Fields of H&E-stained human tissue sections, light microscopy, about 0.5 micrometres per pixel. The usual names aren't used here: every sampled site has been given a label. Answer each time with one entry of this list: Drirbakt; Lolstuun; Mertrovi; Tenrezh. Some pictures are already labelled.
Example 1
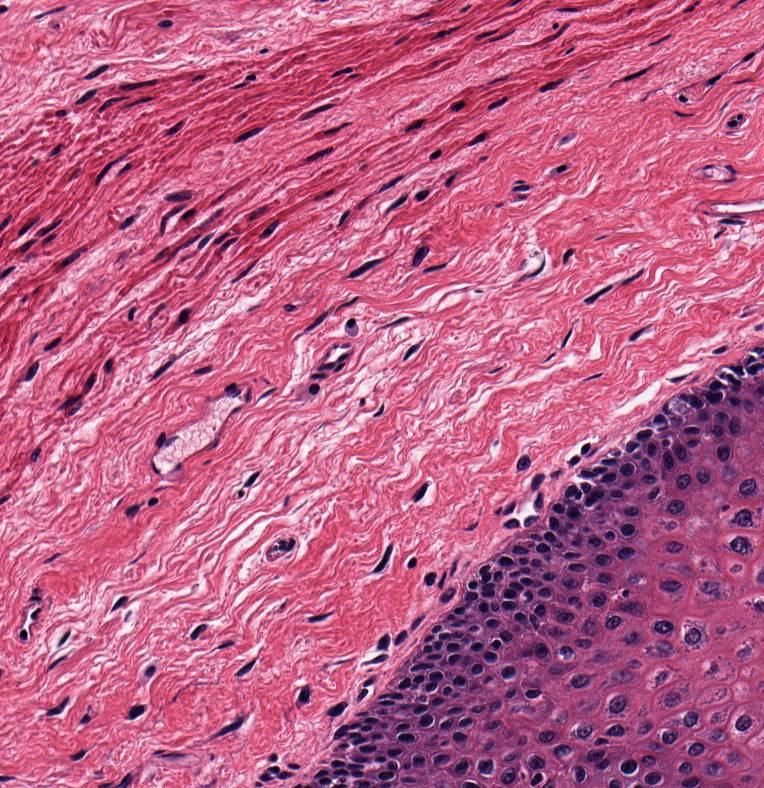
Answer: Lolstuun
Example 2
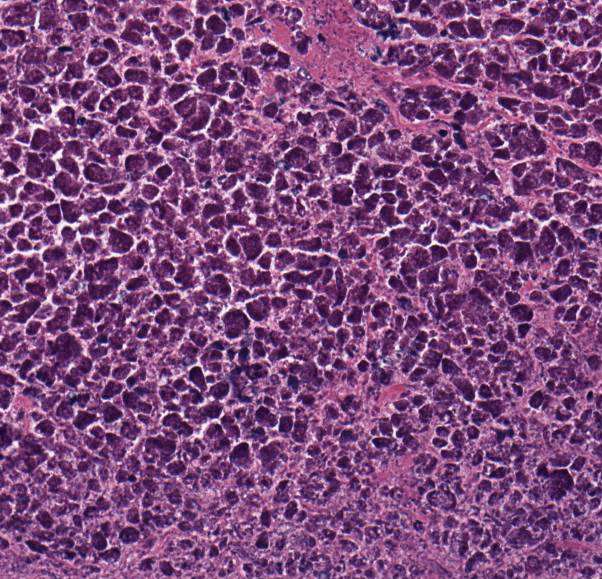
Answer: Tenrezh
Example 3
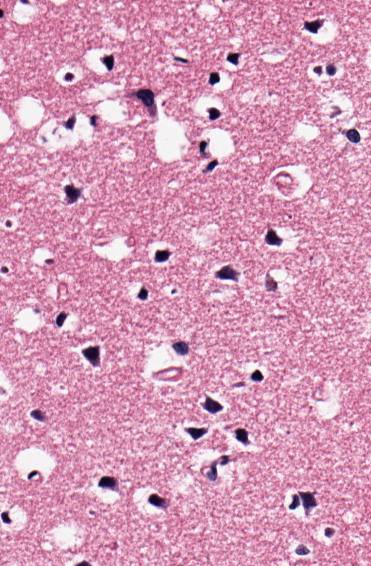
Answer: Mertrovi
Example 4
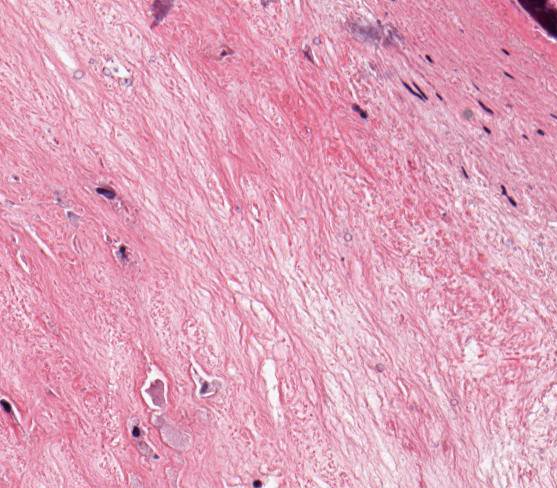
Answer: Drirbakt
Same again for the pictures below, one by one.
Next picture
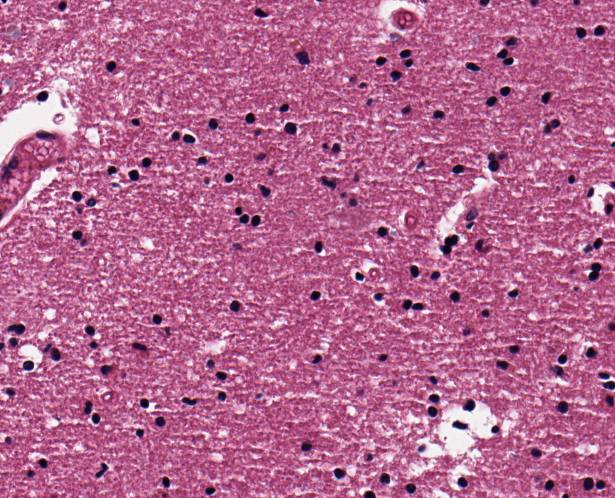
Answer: Mertrovi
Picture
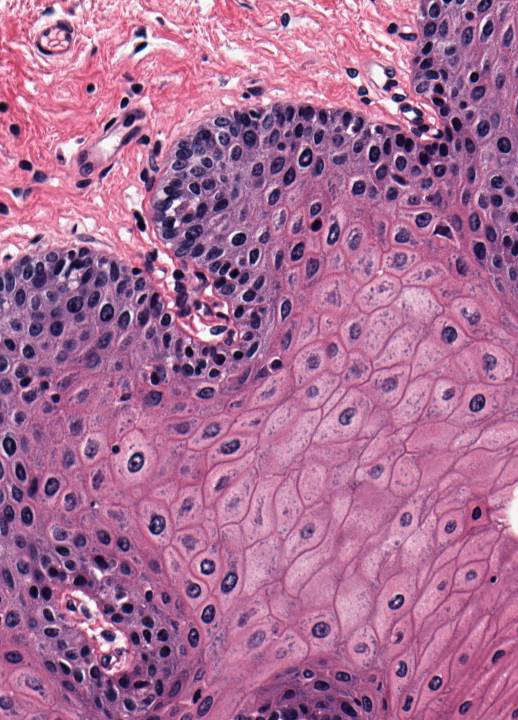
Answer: Lolstuun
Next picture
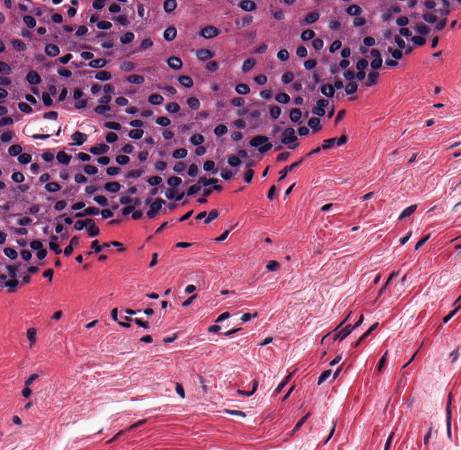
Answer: Lolstuun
